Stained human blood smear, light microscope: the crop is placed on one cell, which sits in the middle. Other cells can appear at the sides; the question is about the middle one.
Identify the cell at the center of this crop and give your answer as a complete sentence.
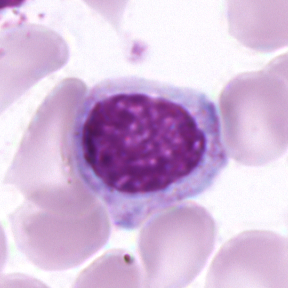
Where the crop is centred, there is a metamyelocyte.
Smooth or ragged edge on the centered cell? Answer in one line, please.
This cell does not have a smooth edge; it is ragged or extended into projections.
